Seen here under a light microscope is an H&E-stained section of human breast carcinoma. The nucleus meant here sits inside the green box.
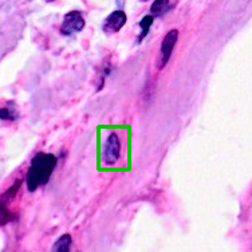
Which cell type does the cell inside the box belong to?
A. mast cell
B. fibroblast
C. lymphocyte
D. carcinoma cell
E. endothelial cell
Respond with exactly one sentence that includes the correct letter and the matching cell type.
Under option A, the cell inside the box is a mast cell, which is the correct identification.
